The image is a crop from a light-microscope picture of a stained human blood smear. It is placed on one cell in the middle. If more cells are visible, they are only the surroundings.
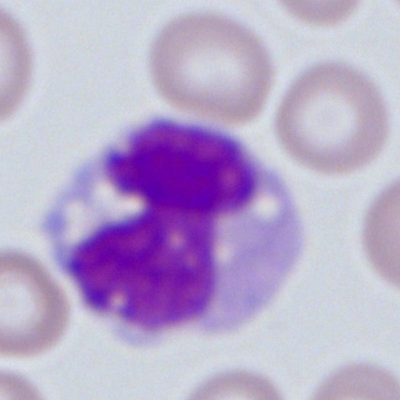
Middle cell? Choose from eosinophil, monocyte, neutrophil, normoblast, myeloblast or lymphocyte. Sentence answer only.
Where the crop is centred, there is a monocyte.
